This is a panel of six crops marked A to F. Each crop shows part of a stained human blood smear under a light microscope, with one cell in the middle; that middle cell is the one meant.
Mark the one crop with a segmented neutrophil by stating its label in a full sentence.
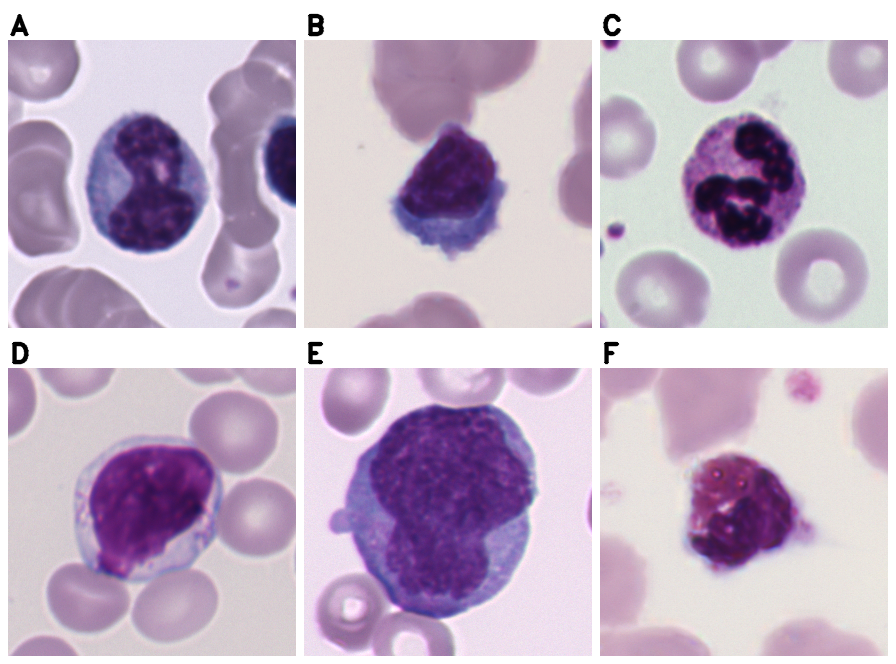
Of the labeled crops, the one with a segmented neutrophil is crop C.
